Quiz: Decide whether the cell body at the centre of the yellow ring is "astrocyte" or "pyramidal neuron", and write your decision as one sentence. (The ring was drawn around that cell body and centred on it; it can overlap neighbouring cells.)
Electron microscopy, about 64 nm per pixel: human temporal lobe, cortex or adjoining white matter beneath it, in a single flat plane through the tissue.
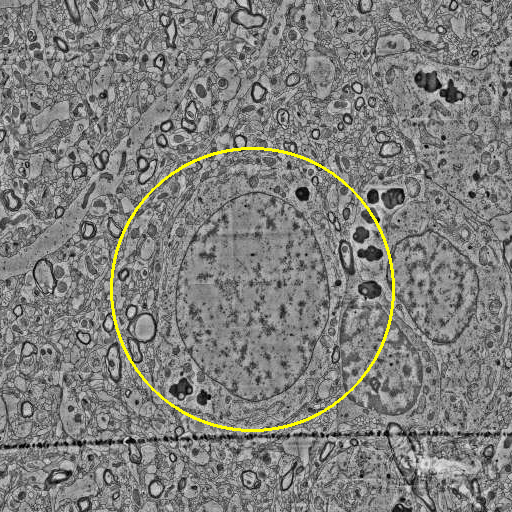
The cell the ring is centred on is a pyramidal neuron.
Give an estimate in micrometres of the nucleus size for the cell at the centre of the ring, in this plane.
In this plane, roughly 13 by 10 micrometres.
